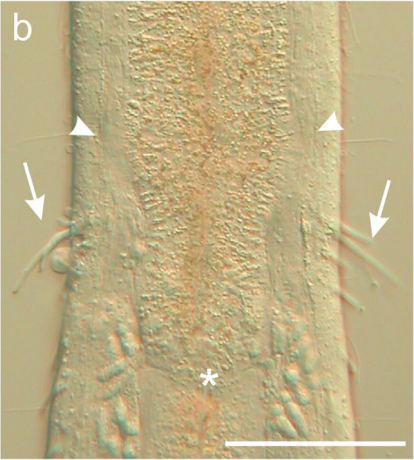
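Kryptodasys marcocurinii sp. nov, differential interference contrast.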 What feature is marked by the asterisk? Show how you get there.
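Pharyngo-intestinal junction. The gut content changes texture at this level.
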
